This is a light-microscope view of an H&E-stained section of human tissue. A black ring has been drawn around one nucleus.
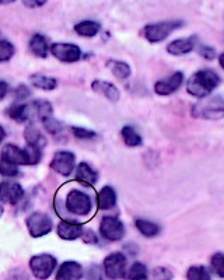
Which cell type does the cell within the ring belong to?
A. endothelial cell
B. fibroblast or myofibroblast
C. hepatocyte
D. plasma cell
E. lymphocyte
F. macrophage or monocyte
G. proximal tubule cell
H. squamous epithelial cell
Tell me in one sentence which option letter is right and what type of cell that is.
On this slide, the cell within the ring is a lymphocyte, so option E is right.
